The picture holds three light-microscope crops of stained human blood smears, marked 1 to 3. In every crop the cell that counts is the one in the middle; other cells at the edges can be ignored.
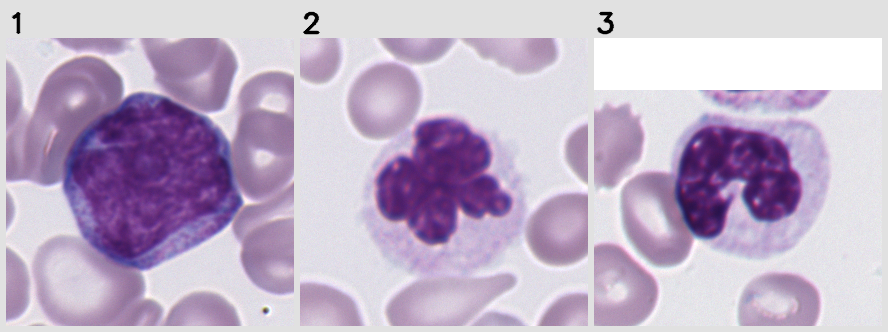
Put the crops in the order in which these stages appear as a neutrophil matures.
1, 3, 2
